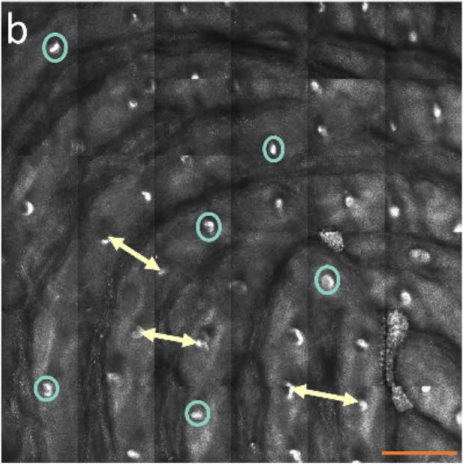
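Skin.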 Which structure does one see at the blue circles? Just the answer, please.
Sweat glands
